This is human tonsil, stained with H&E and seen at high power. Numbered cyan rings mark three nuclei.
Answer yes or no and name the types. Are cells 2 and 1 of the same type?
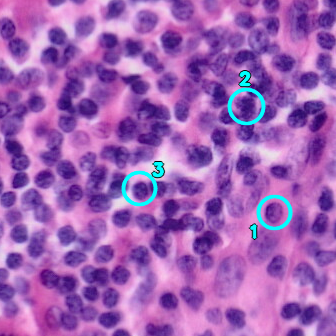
No, cell 2 is a small lymphocyte, and cell 1, in contrast, is an endothelial cell.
